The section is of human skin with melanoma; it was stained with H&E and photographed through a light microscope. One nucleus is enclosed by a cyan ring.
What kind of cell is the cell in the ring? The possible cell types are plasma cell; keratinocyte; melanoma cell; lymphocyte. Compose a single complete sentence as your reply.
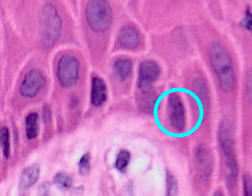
So far as cell type goes, the cell in the ring is a keratinocyte.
